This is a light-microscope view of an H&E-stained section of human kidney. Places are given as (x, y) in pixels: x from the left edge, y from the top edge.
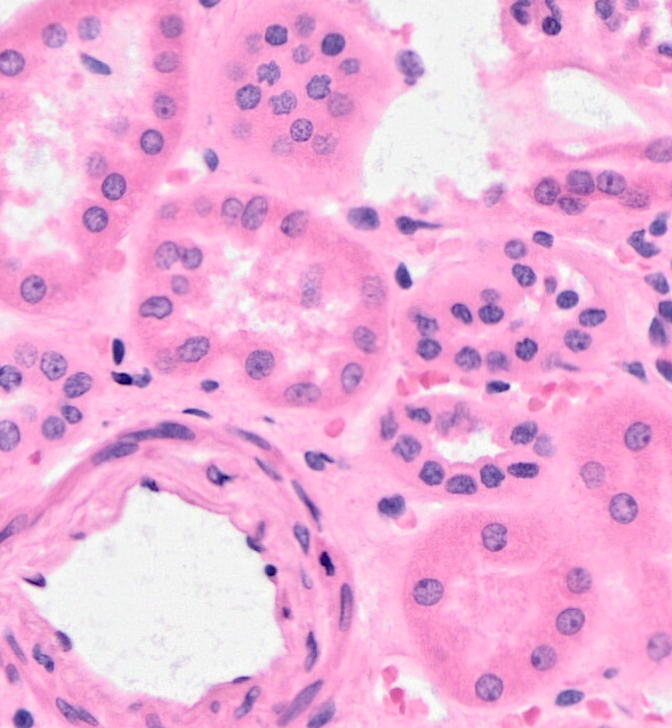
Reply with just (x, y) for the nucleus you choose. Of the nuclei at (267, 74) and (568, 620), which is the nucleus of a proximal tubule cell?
(568, 620)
